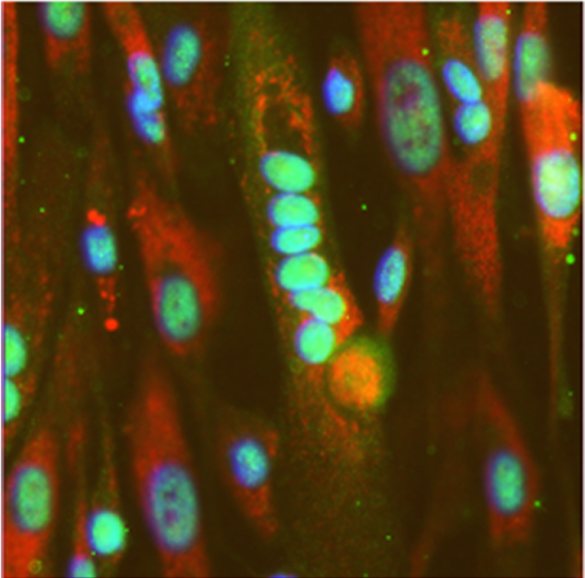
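These are cultured muscle cells fused into myotubes, long broad cells running roughly parallel across the field. One myotube holds a tight chain of oval nuclei lined up along its length, stained blue with a strong green overlay, while single nuclei lie scattered in narrower spindle-shaped cells around it. The red stain fills the cytoplasm of many cells diffusely, with a finer dotted pattern in places and a few bright red spots. The green label is strongest in the nuclei but also gives a faint haze and scattered small dots in the cytoplasm.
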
